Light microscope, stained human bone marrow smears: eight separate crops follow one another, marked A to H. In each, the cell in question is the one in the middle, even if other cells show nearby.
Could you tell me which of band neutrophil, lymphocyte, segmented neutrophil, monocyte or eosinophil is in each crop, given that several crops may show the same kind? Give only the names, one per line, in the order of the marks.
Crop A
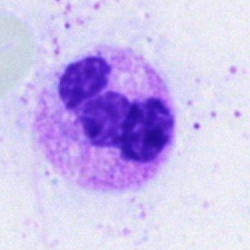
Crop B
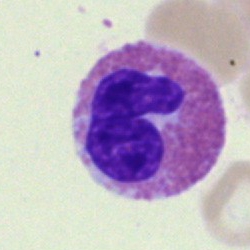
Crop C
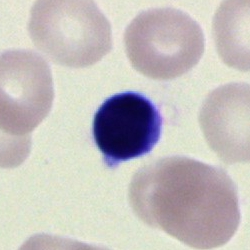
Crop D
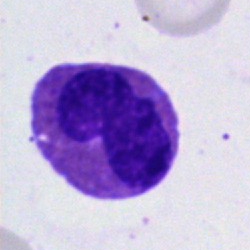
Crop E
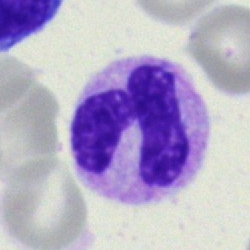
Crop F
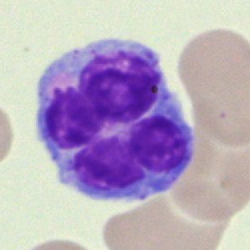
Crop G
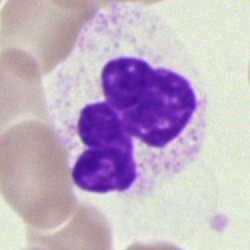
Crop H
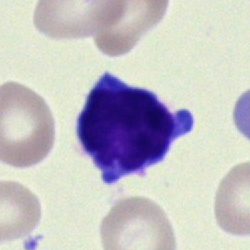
segmented neutrophil
eosinophil
lymphocyte
eosinophil
band neutrophil
monocyte
segmented neutrophil
lymphocyte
